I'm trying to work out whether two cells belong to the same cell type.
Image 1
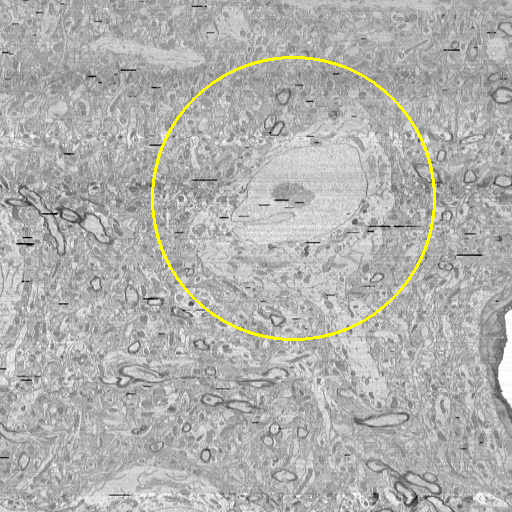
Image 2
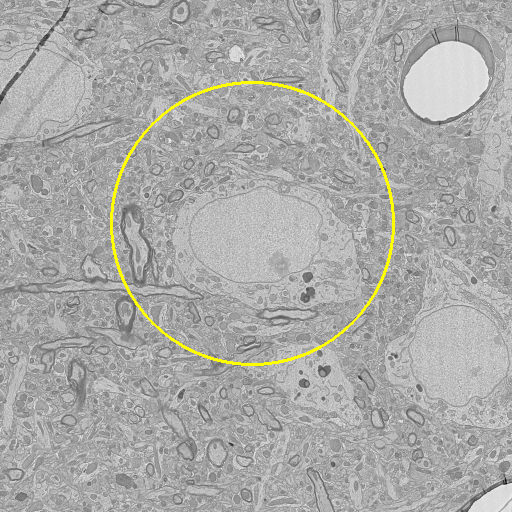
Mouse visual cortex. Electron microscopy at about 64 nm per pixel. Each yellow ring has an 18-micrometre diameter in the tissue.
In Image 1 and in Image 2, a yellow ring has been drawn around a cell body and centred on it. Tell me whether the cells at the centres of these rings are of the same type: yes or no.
yes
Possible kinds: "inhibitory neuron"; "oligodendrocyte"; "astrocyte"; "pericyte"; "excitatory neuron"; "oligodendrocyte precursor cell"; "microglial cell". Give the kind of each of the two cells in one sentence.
Each of the two pictures has an excitatory neuron at the ring centre.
